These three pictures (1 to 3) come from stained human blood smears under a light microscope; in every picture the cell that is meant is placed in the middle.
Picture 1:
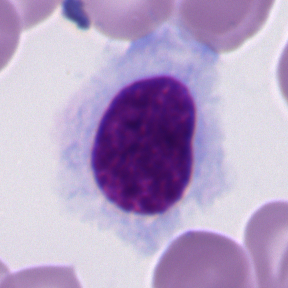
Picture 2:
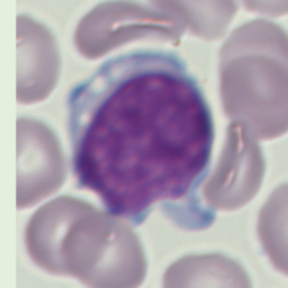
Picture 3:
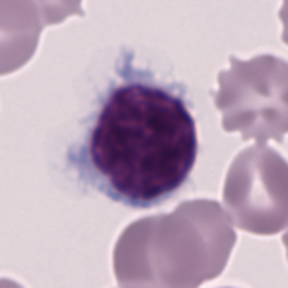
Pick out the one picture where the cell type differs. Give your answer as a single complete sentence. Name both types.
The others show hairy cells, but picture 2 shows a myeloblast.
